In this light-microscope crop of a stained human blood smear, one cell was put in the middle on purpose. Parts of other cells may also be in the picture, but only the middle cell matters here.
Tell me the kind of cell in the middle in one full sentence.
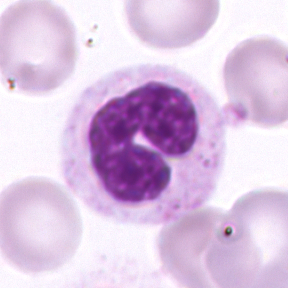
The cell at the centre of the field is a band neutrophil.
